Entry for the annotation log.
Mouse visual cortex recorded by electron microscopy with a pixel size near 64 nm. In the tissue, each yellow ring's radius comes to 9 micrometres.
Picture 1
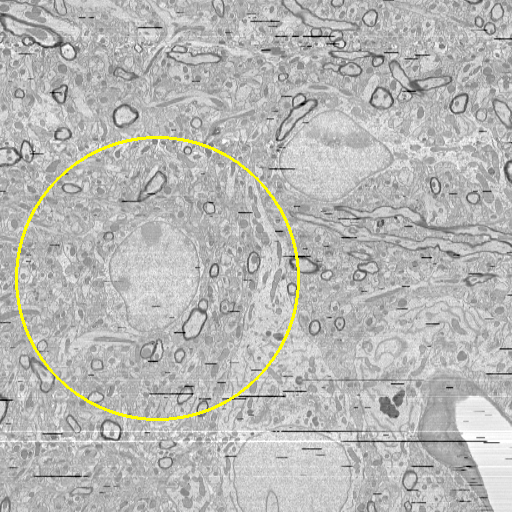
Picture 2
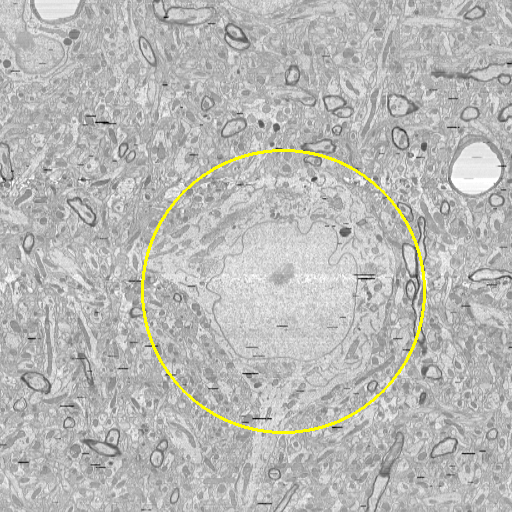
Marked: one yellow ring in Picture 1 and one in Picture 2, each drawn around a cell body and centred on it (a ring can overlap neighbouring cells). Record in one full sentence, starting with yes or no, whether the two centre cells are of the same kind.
No, the two cells are of two kinds.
